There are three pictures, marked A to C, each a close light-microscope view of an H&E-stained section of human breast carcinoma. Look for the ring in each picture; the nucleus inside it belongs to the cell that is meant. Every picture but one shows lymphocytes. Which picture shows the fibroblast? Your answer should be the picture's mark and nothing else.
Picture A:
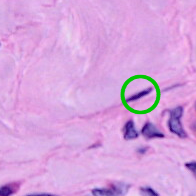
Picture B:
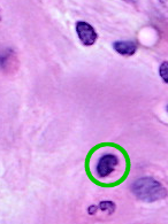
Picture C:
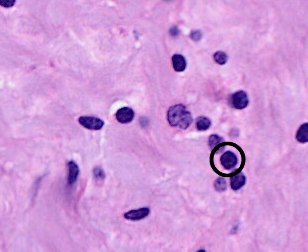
A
